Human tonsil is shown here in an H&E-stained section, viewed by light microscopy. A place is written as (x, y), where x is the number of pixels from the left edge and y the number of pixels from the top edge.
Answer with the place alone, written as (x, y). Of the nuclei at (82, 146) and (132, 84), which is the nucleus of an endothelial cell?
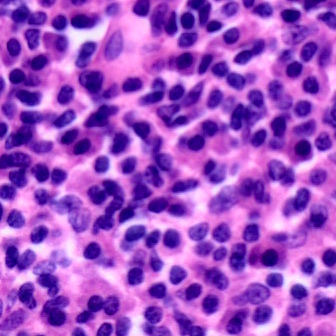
(132, 84)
